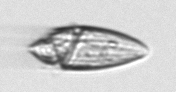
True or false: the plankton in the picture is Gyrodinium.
False; it is Kapelodinium.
